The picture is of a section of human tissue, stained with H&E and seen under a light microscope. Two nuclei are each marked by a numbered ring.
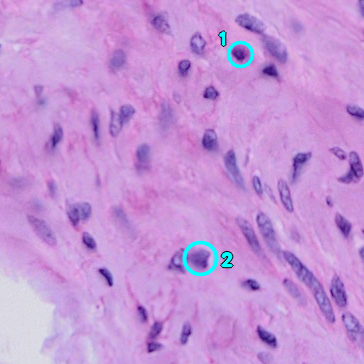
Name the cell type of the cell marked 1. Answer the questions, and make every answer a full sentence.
The marked nucleus 1 is that of a smooth muscle cell.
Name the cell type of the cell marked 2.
The cell indicated with the number 2 is classed as a fibroblast.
